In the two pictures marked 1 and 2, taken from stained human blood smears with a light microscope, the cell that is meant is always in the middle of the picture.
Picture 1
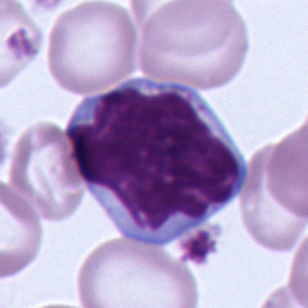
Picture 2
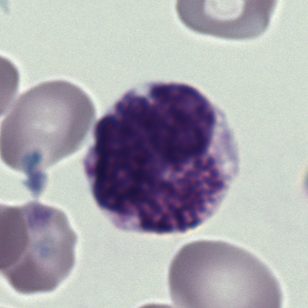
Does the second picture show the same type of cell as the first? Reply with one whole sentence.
No, they differ: the cell is a typical lymphocyte in picture 1 and a basophil in picture 2.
